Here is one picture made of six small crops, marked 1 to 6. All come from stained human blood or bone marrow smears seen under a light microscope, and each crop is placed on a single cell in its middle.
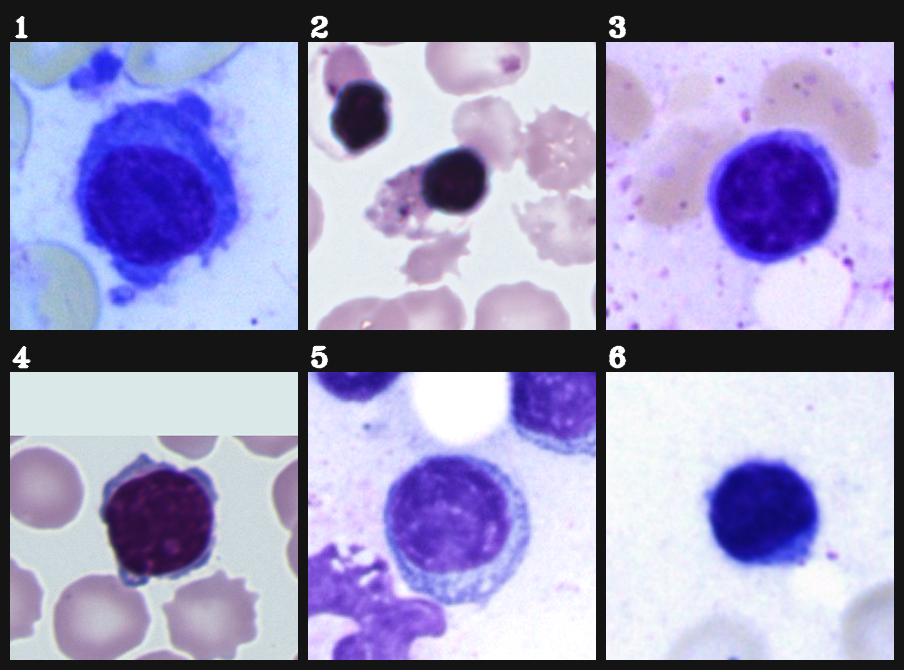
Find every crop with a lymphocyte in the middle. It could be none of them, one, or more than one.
3, 4, 5, 6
